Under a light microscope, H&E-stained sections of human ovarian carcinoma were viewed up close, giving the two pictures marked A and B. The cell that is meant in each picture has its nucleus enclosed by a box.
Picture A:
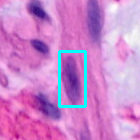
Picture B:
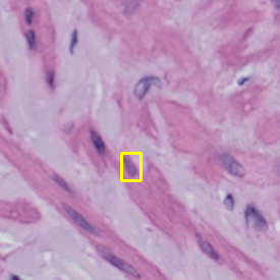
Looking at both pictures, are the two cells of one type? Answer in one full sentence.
Yes; the cells in both pictures are smooth muscle cells.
